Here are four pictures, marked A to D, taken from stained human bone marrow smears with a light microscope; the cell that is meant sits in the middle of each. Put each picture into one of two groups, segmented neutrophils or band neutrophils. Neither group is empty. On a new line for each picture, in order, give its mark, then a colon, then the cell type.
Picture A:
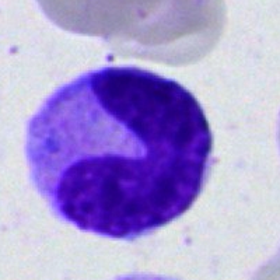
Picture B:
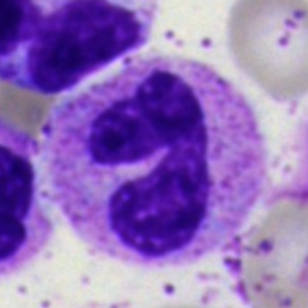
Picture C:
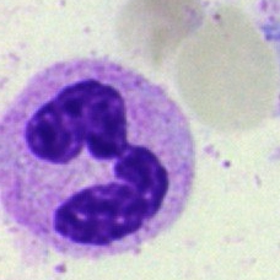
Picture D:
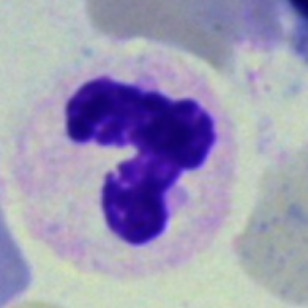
A: band neutrophil
B: segmented neutrophil
C: segmented neutrophil
D: segmented neutrophil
